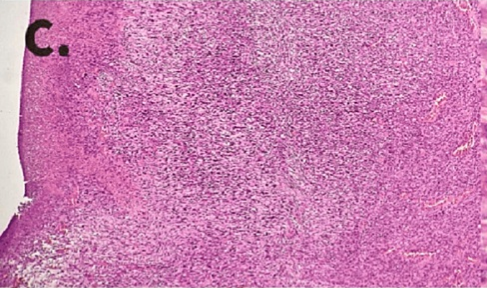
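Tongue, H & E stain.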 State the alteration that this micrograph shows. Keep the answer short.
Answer: Surface ulceration.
